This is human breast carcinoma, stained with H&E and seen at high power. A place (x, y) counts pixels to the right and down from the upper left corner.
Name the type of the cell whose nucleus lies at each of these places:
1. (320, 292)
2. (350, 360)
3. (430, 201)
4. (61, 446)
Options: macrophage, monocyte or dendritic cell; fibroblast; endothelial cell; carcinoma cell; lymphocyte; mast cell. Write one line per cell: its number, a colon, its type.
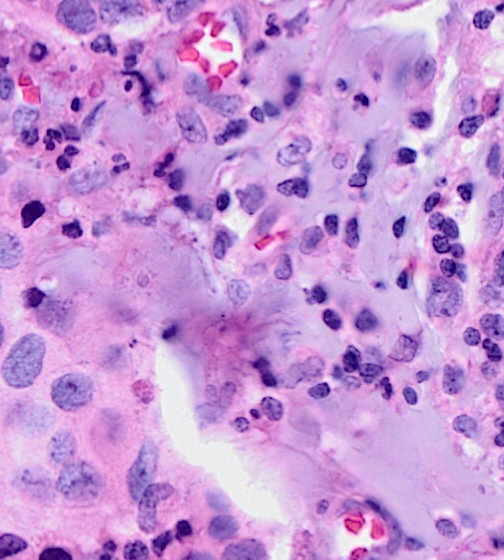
1: lymphocyte
2: lymphocyte
3: lymphocyte
4: carcinoma cell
